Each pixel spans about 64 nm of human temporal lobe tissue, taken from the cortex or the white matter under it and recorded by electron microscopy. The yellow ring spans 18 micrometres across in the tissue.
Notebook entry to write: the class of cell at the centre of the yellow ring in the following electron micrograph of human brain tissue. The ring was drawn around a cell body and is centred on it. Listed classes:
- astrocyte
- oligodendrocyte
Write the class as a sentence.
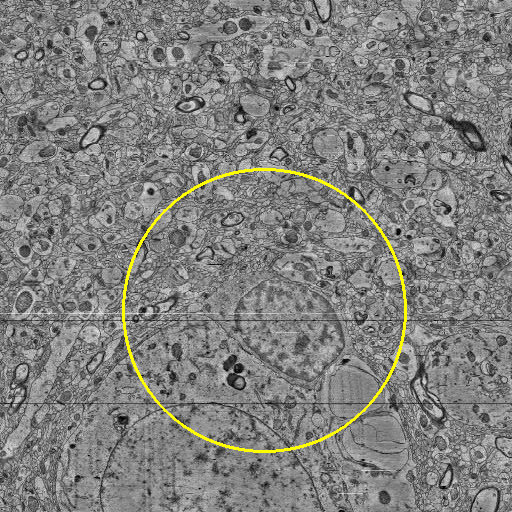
The yellow ring sits on an oligodendrocyte.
